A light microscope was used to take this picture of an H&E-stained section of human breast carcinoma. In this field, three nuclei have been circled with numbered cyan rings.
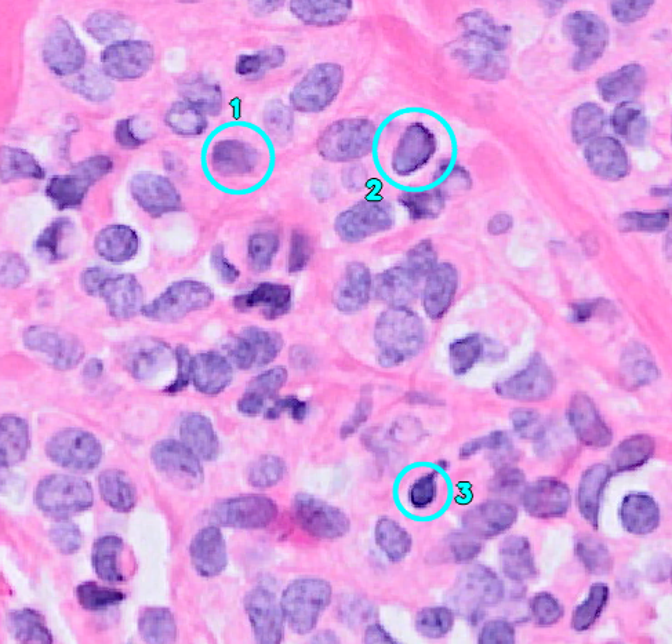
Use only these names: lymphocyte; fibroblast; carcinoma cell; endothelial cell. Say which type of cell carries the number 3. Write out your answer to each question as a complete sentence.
The correct label for cell 3 is a lymphocyte.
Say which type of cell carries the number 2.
The cell indicated by marker 2 is a carcinoma cell in this section.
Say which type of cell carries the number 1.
In this section, number 1 marks a carcinoma cell.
